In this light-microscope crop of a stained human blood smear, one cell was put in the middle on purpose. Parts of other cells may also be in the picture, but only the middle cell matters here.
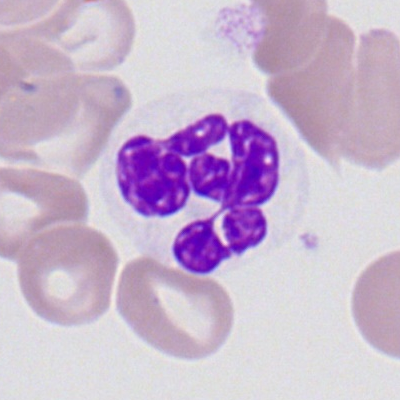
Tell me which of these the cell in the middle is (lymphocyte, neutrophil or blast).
neutrophil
